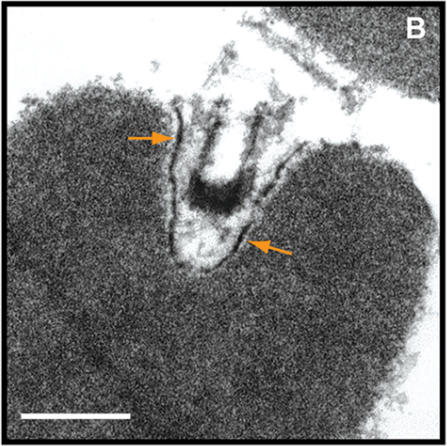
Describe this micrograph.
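This electron micrograph shows the rear pole of a sperm nucleus with its centriolar fossa. The dense, finely granular chromatin is indented by a deep, narrow pocket. The pocket is lined by thin dark membranes running along both walls down to its rounded base. A dark, electron-dense cylindrical structure lies within the pocket, with paler, flocculent material below it. Outside the nucleus lies lighter, loosely textured material.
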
